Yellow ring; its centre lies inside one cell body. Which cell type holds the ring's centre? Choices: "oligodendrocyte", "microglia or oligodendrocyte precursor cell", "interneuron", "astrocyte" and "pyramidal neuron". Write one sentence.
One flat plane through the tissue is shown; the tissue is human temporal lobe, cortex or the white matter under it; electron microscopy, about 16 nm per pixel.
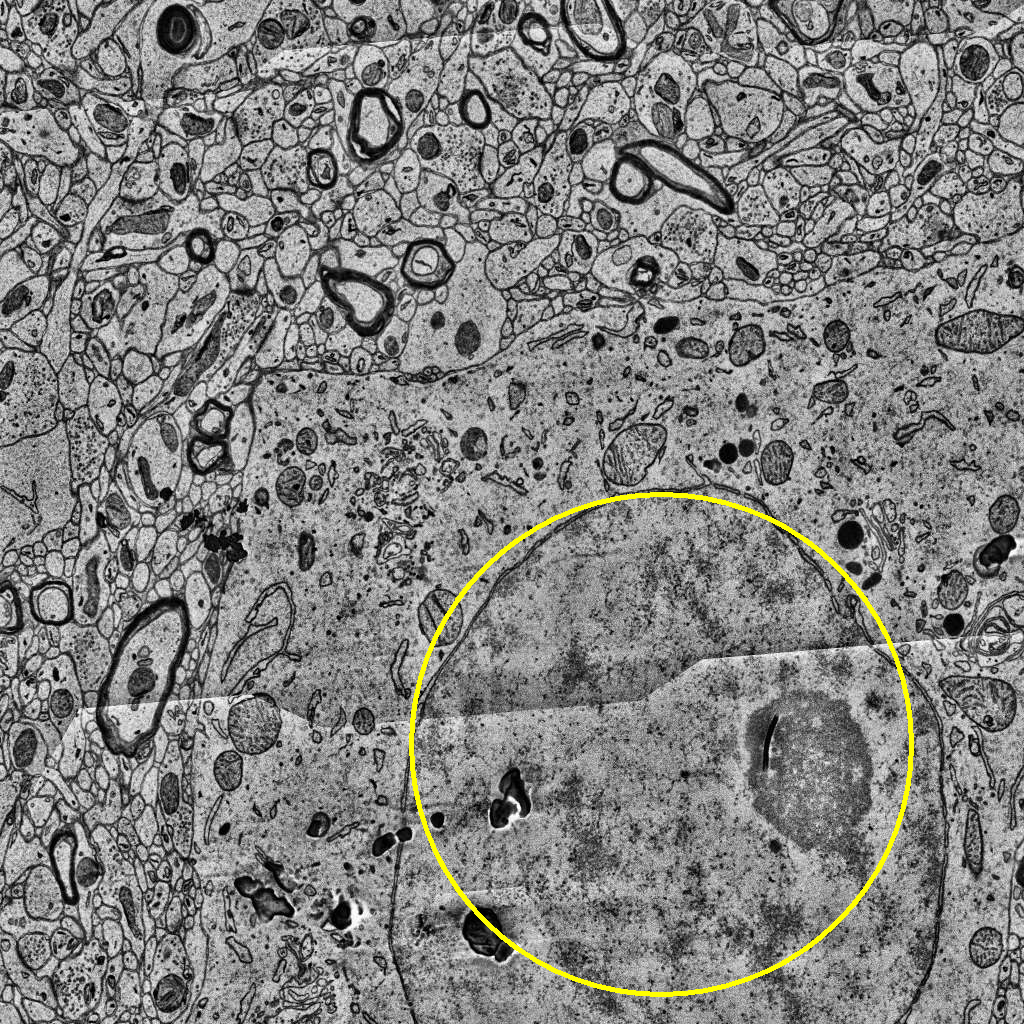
At the centre of the ring sits a pyramidal neuron.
